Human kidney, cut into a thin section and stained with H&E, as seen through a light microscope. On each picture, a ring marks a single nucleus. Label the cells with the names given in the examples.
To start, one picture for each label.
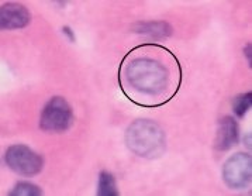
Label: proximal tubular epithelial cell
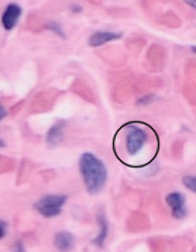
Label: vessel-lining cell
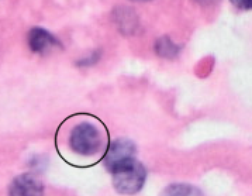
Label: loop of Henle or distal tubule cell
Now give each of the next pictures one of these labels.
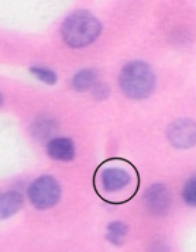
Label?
vessel-lining cell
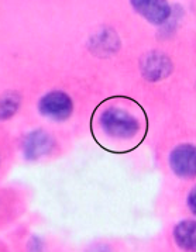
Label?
loop of Henle or distal tubule cell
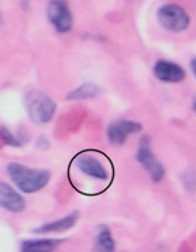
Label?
vessel-lining cell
